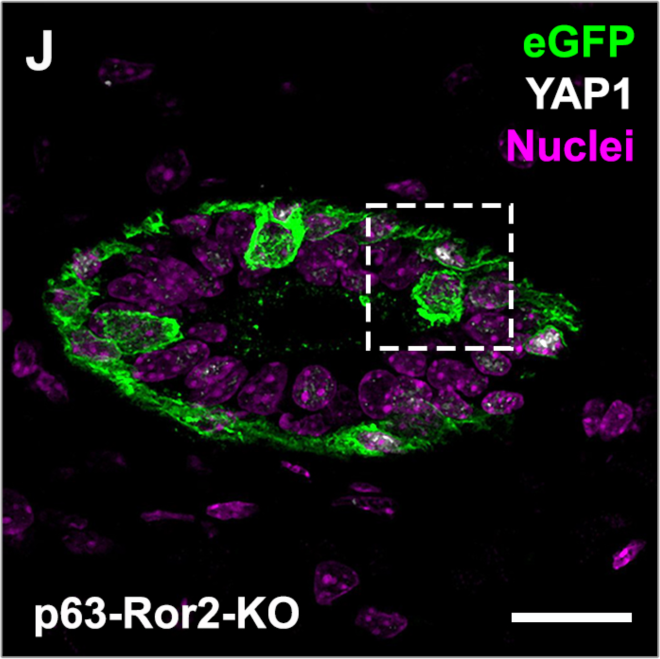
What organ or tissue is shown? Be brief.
Mammary ducts.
